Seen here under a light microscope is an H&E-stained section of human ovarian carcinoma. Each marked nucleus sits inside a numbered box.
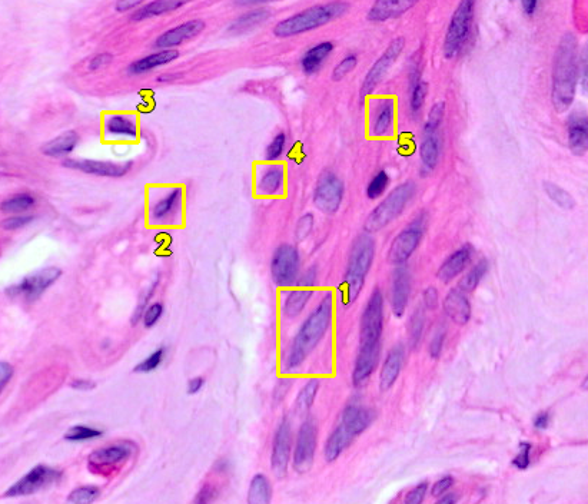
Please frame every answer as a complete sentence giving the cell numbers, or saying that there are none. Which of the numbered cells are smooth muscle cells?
The cells given the numbers 1, 4 and 5 are smooth muscle cells.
